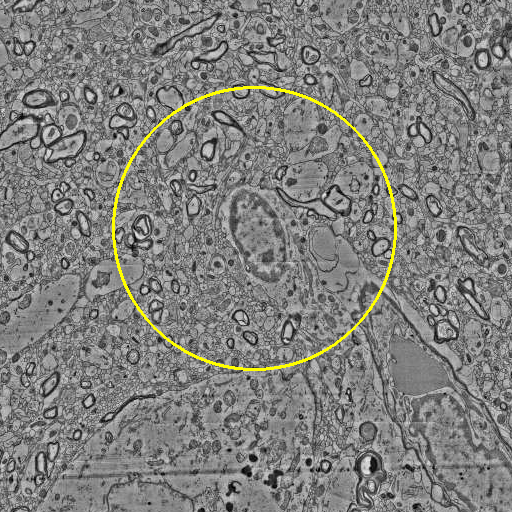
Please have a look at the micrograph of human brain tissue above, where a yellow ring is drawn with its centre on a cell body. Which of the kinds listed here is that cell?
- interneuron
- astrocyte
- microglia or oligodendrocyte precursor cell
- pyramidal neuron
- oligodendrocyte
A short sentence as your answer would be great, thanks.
At the centre of the ring sits a microglial cell or oligodendrocyte precursor cell.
